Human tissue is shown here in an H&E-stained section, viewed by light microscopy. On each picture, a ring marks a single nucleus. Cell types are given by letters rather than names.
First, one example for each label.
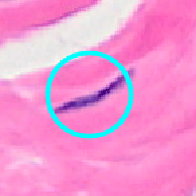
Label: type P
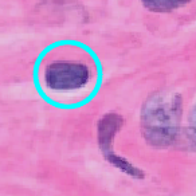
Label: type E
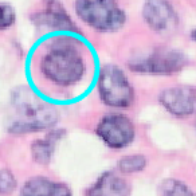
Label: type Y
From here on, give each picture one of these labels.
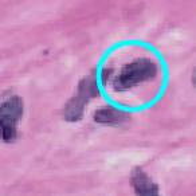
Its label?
type E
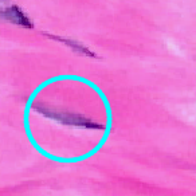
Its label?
type P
